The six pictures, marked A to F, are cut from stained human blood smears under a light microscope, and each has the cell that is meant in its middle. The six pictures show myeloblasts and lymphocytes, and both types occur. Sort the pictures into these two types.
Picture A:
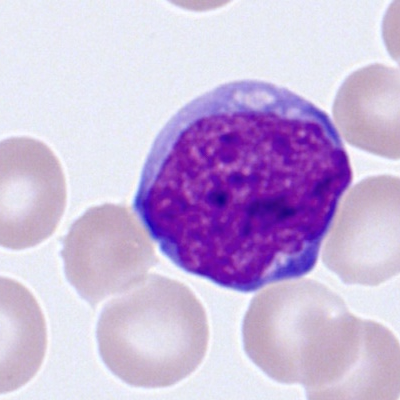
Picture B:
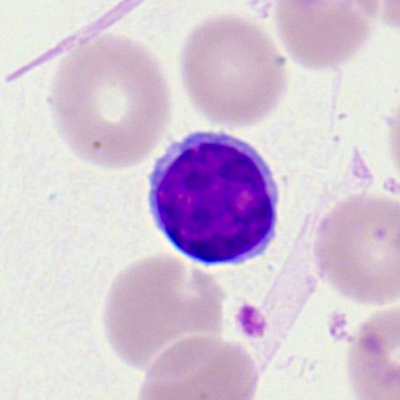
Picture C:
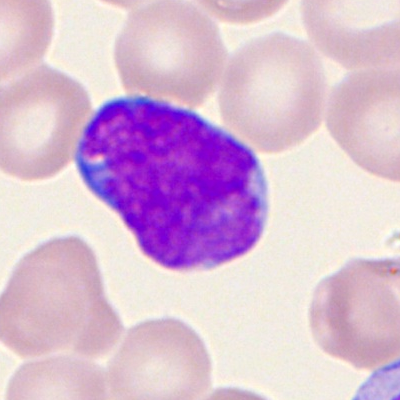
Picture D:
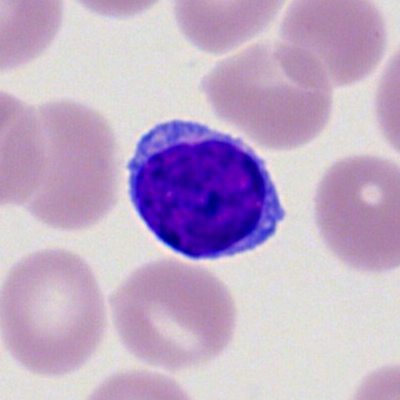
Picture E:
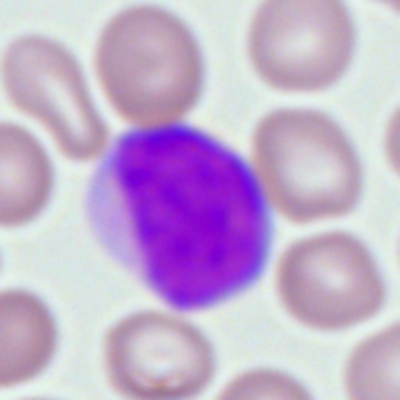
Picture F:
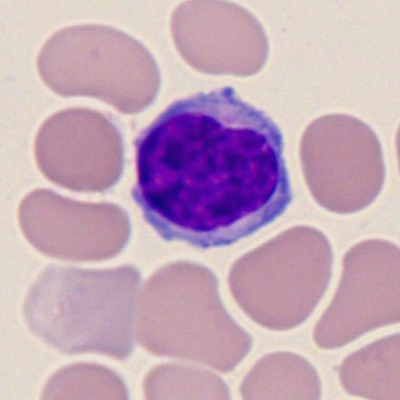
A: myeloblast
B: lymphocyte
C: myeloblast
D: lymphocyte
E: myeloblast
F: lymphocyte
